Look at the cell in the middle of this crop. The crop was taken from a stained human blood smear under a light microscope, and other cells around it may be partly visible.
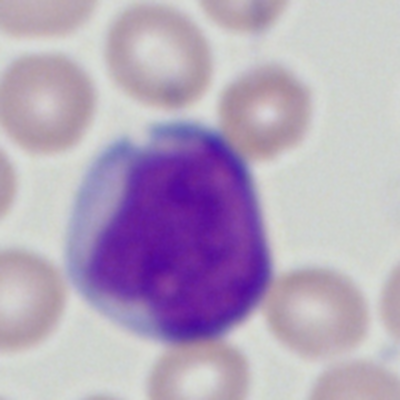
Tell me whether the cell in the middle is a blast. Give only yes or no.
yes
